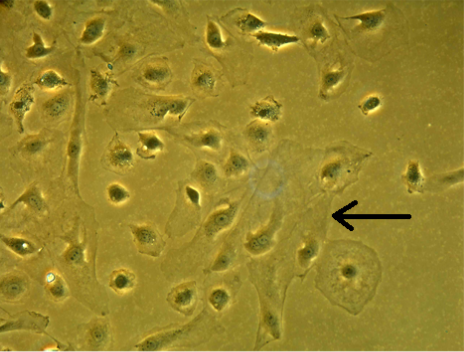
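Cultured cells in phase contrast lie sparsely scattered over the dish, leaving much empty background between them. Most are small cells, rounded to spindle-shaped, with a dark granular centre and a few thin processes. Among them are a few very large, flat, pale cells with faint outlines, spread far wider than their neighbours. One such large cell in the lower right shows a round, dark centre amid its broad cytoplasm.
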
